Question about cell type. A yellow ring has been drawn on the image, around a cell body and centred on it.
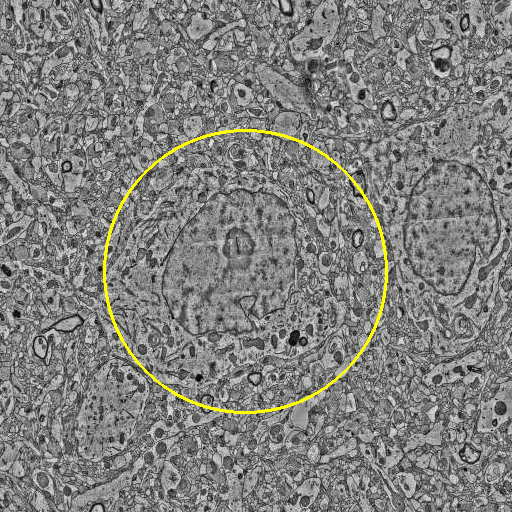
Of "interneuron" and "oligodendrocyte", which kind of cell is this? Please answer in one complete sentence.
At the centre of the ring lies an interneuron.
